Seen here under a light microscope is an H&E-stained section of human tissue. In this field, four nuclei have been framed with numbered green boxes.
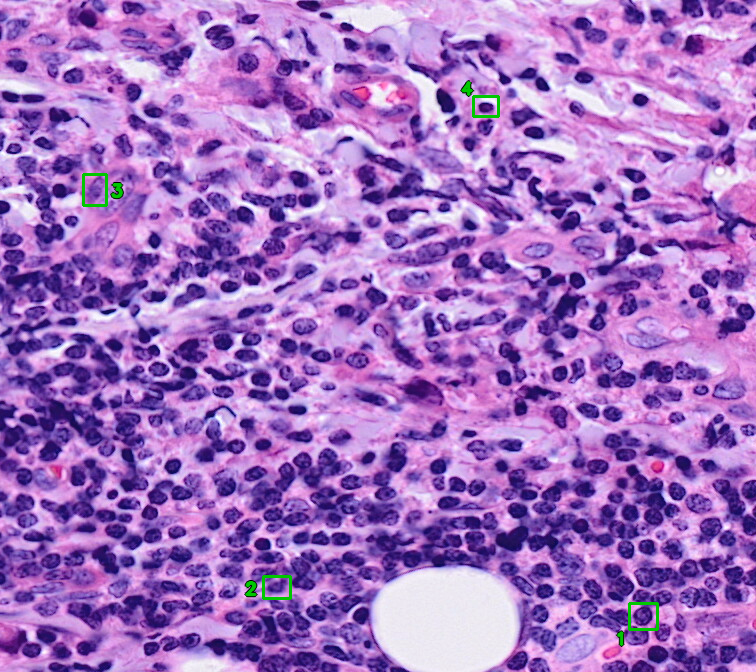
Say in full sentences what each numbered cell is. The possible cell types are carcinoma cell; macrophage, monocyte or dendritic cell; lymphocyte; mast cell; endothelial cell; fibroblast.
Cells 1, 2 and 4 are lymphocytes. Cell 3 is an endothelial cell.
